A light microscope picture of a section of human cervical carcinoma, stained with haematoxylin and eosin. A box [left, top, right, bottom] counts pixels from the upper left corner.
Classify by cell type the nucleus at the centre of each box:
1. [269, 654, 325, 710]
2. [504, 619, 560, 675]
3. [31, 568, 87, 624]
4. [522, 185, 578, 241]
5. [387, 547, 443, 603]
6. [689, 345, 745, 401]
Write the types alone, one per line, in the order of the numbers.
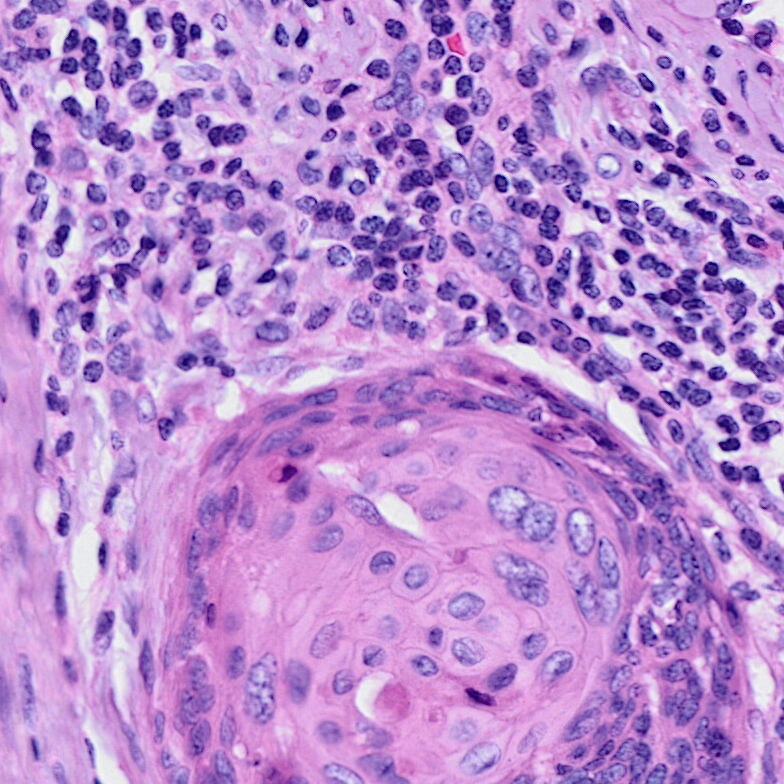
squamous carcinoma cell
squamous carcinoma cell
fibroblast
lymphocyte
squamous carcinoma cell
lymphocyte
